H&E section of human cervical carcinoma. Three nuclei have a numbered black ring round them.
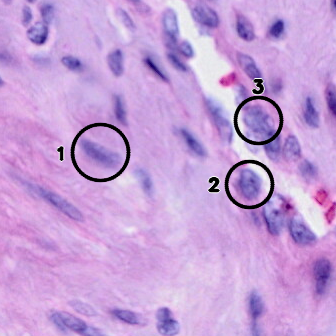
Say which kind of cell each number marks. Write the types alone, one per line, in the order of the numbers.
fibroblast
endothelial cell
endothelial cell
